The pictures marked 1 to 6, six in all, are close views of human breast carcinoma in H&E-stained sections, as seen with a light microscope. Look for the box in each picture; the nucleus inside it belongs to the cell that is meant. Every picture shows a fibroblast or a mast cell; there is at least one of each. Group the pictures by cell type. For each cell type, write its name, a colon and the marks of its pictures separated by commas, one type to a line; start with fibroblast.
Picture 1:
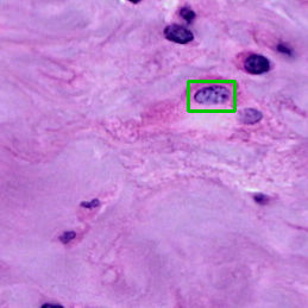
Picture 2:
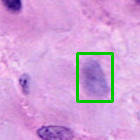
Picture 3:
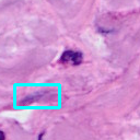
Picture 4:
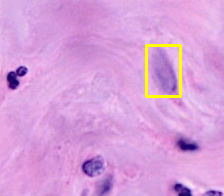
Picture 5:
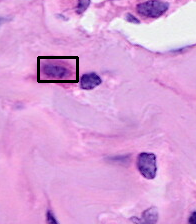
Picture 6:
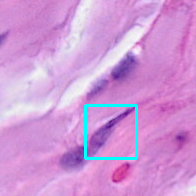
fibroblast: 2, 3, 4, 6
mast cell: 1, 5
